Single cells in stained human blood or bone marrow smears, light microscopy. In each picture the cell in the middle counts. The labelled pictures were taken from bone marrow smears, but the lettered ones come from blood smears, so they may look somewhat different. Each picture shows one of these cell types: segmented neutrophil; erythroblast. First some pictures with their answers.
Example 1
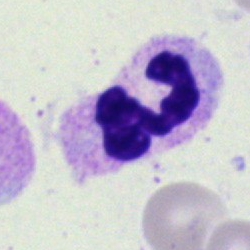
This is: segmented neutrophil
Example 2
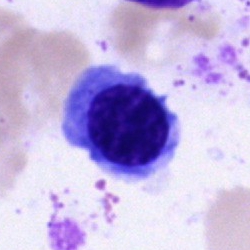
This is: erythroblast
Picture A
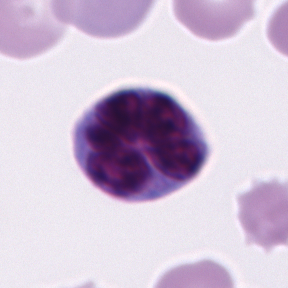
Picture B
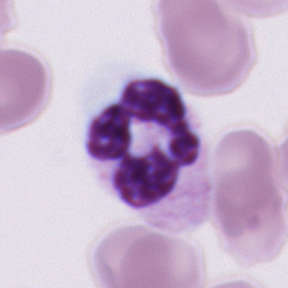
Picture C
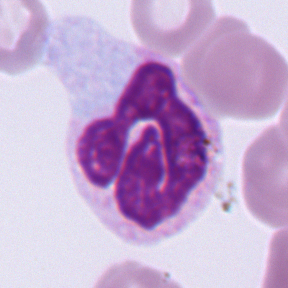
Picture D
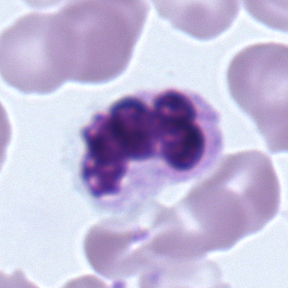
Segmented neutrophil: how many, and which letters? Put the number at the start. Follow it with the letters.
Count: 3 (B, C, D)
